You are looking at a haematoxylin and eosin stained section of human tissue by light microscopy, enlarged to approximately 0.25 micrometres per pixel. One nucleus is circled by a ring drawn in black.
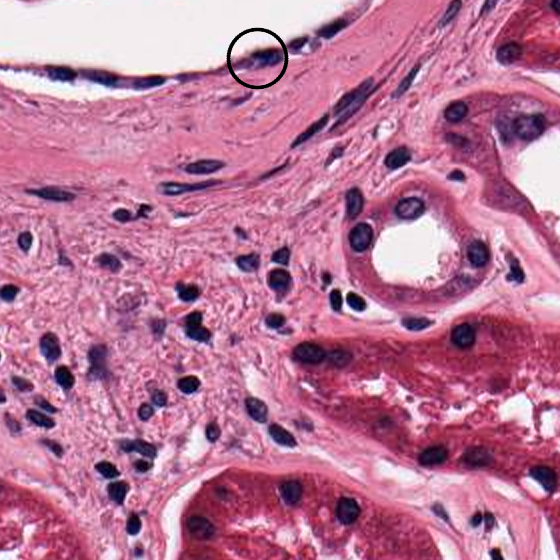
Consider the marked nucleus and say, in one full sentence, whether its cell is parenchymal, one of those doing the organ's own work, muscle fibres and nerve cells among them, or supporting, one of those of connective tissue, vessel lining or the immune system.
A supporting cell is the owner of the marked nucleus.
